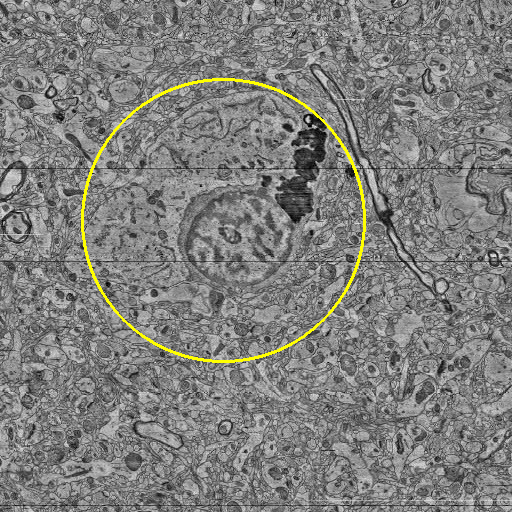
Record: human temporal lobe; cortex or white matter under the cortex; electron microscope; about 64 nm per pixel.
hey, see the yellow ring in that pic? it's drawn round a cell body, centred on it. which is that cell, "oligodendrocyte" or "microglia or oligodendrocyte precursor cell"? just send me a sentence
The cell in the ring is an oligodendrocyte.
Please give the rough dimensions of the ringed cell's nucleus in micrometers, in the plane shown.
Approximately 7 by 6 micrometers in this plane.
